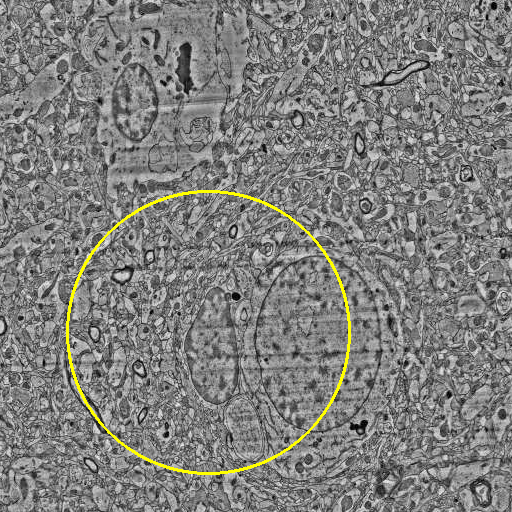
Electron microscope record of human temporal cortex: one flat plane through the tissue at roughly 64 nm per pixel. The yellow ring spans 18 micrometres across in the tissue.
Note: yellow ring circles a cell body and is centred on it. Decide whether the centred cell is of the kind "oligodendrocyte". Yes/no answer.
No, the centred cell is of another kind.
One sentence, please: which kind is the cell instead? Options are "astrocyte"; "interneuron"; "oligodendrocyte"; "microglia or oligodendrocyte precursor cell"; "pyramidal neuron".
Instead, the cell inside the ring is a microglial cell or oligodendrocyte precursor cell.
